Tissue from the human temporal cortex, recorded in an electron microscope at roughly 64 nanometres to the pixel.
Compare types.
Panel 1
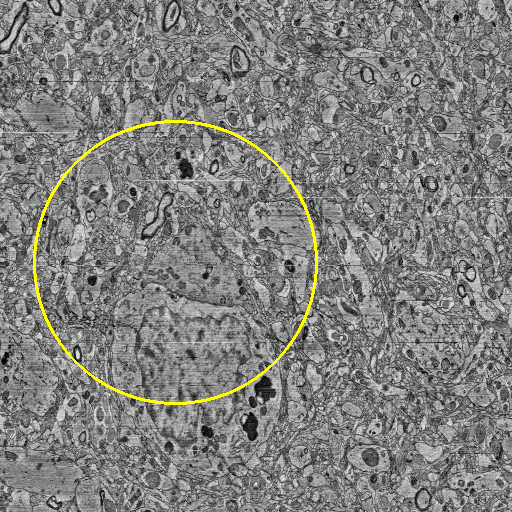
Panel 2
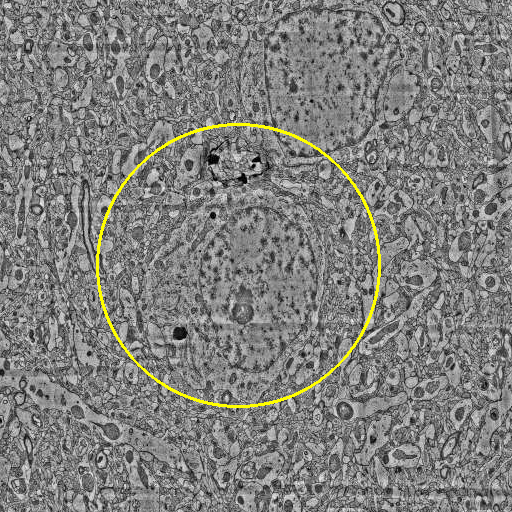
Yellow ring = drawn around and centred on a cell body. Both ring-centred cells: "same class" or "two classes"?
two classes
